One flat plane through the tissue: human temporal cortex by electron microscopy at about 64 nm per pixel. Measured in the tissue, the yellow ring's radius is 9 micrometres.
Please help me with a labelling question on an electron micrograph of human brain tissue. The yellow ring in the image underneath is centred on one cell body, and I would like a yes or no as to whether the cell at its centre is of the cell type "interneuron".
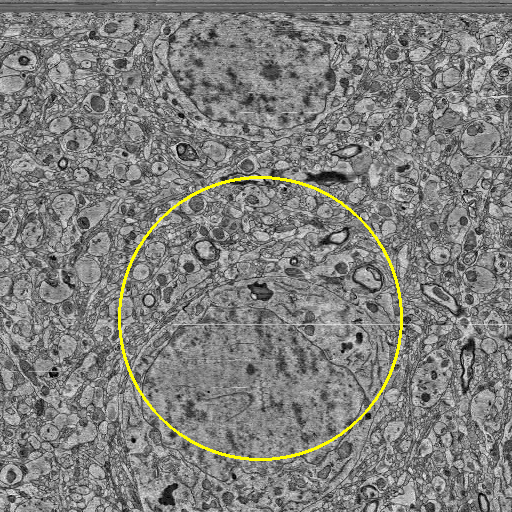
yes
